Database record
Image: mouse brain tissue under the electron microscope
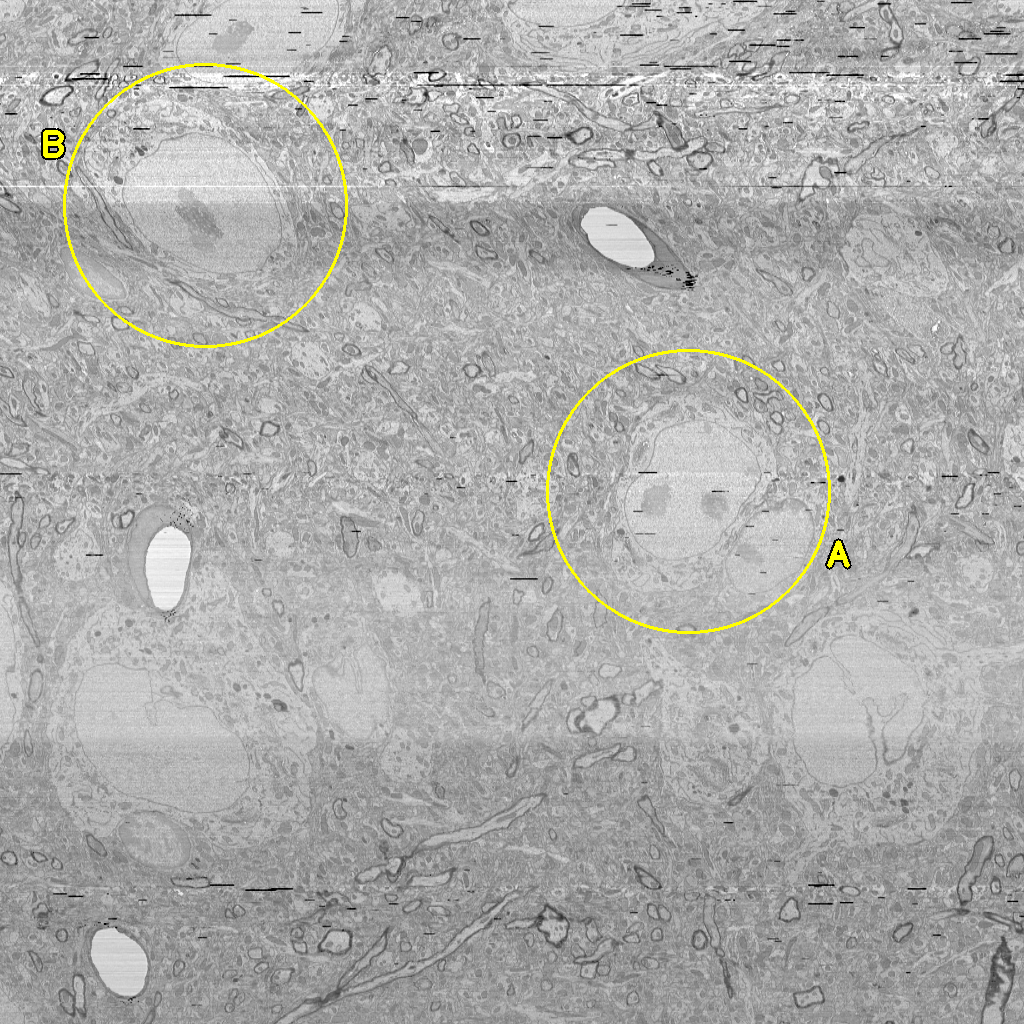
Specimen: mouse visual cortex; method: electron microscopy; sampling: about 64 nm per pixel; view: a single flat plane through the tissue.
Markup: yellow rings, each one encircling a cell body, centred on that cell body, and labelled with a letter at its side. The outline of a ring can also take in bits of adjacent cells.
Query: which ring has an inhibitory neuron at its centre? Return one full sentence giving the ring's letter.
In this image, that kind of cell lies at the centre of the ring labelled B.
